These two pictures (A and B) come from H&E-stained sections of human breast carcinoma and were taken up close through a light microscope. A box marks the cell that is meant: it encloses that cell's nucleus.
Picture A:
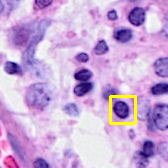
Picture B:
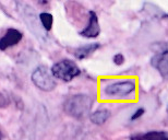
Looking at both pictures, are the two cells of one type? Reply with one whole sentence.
No, they differ: the cell is a lymphocyte in picture A and an endothelial cell in picture B.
